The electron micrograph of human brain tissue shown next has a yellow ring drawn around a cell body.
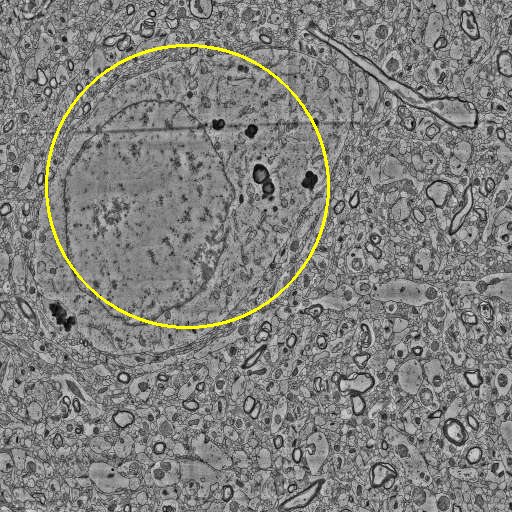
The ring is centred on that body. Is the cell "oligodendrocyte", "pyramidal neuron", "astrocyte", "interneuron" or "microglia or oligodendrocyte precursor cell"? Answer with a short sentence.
The cell in question is a pyramidal neuron.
